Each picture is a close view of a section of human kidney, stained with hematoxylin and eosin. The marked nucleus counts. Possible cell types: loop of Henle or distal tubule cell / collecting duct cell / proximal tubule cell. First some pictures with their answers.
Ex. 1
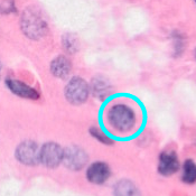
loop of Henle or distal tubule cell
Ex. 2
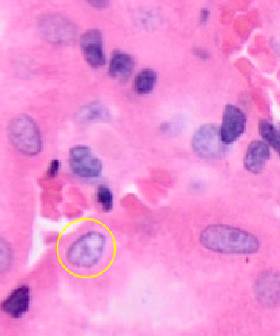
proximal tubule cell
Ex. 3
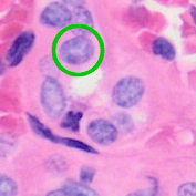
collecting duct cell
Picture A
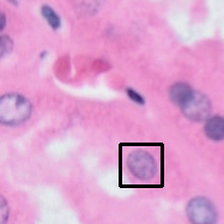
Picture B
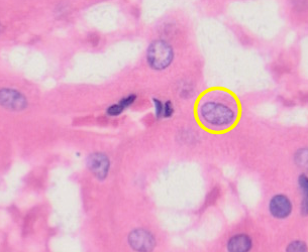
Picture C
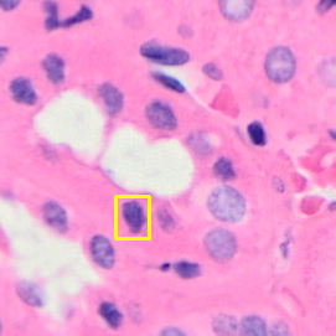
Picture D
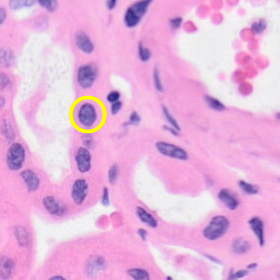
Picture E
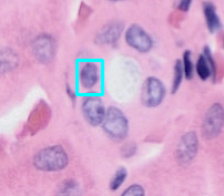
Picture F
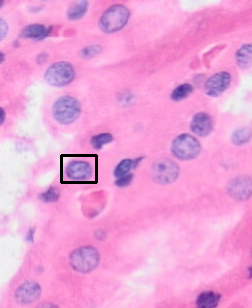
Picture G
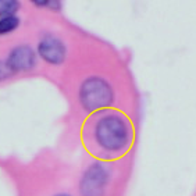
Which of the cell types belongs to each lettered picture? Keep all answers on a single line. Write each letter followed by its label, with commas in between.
A proximal tubule cell, B proximal tubule cell, C loop of Henle or distal tubule cell, D collecting duct cell, E collecting duct cell, F loop of Henle or distal tubule cell, G collecting duct cell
